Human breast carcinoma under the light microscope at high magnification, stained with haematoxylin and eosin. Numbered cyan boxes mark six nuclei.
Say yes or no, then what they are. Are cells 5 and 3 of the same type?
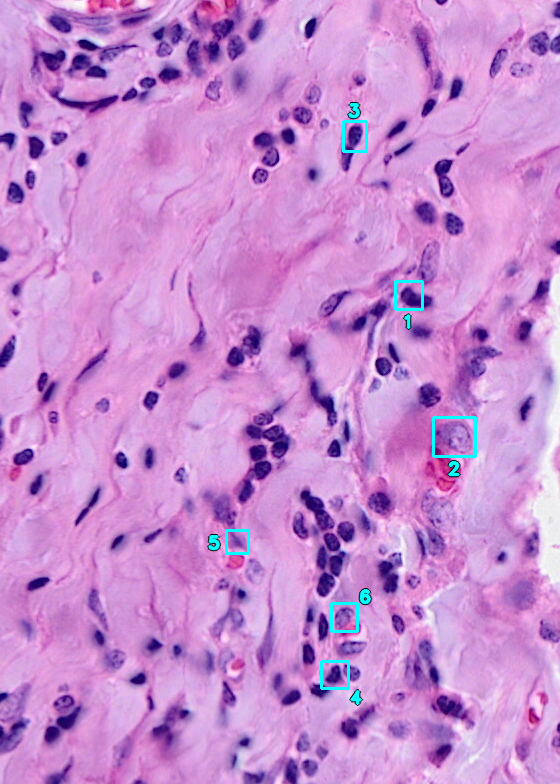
No, cell 5 is an endothelial cell, whereas cell 3, for its part, is a lymphocyte.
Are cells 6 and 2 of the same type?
Yes, cell 6 and likewise cell 2 are endothelial cells.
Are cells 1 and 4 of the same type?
Yes, of the numbered cells, 1 and 4 are both lymphocytes.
